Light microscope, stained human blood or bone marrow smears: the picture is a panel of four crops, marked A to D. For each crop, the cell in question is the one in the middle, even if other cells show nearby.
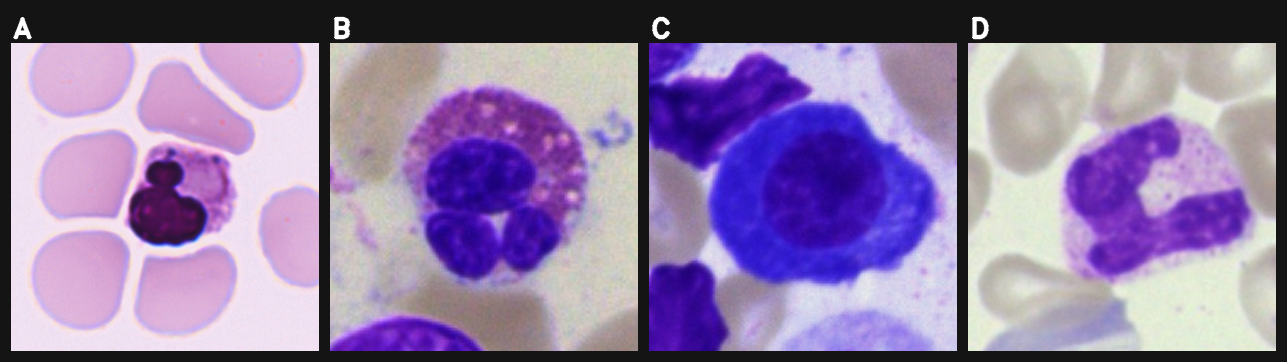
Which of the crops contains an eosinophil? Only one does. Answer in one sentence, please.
Among the crops, only crop B contains an eosinophil.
